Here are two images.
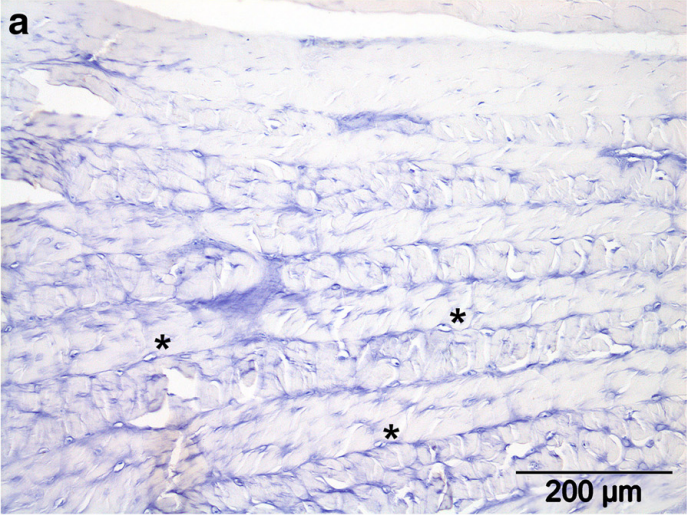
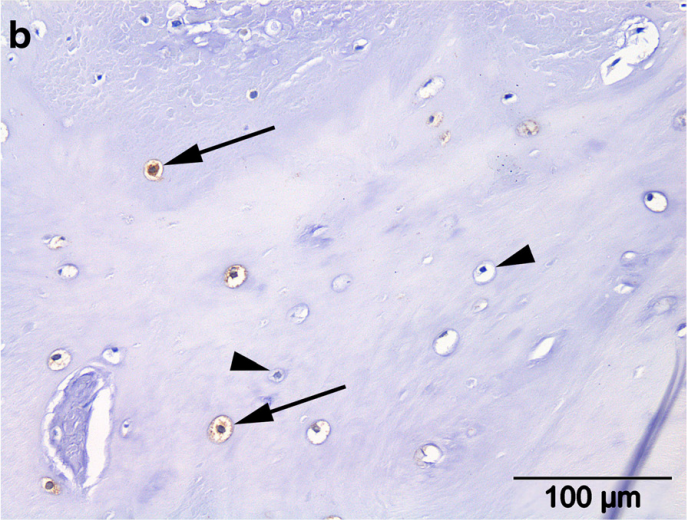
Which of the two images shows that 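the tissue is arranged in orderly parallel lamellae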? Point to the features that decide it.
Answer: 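The first image. Second image: pale homogeneous matrix with scattered round cells and no banding. First image: parallel fibrous bands with aligned elongated cells.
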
